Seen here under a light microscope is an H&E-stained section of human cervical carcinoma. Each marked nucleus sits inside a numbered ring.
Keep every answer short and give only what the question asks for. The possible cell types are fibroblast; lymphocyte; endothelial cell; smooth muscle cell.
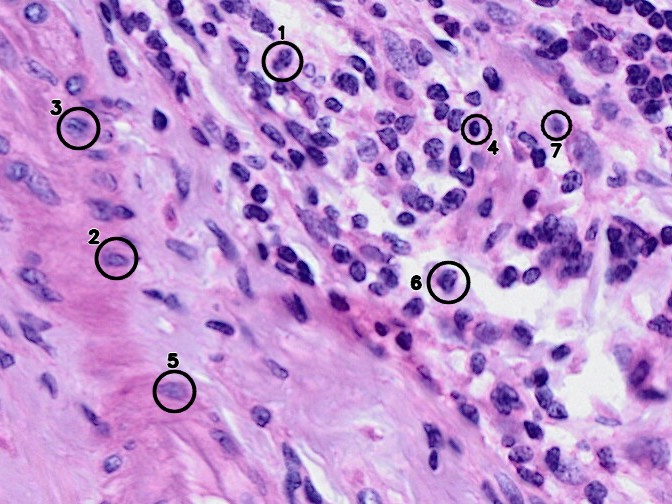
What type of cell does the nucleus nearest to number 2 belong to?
smooth muscle cell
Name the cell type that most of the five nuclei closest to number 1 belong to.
lymphocyte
